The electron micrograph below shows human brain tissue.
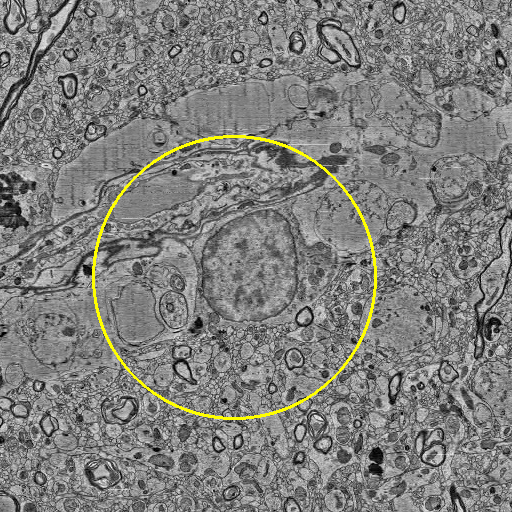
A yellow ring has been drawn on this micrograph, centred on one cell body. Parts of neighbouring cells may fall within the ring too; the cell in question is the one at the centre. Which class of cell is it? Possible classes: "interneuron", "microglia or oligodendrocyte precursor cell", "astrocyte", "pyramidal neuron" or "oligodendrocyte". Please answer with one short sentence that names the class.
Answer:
In the centre of the ring sits an oligodendrocyte.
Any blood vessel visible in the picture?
Yes.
